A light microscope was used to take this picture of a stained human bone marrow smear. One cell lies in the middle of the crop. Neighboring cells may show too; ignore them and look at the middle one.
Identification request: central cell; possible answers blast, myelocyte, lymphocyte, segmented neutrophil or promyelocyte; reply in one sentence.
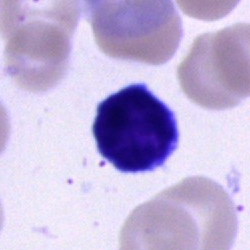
The crop's centre is taken up by a lymphocyte.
